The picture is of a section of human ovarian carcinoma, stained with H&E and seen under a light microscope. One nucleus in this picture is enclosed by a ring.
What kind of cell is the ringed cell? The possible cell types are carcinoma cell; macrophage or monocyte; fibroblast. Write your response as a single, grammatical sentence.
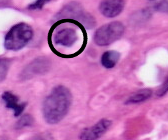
In terms of identity, the ringed cell is a carcinoma cell.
